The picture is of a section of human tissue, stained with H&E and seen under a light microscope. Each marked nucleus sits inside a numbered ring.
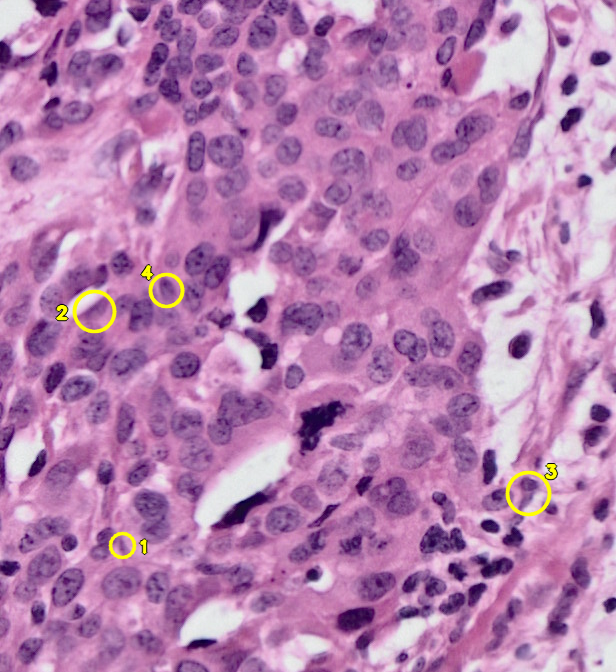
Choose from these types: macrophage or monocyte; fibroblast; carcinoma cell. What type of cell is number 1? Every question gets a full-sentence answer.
Cell number 1 in this section is a carcinoma cell.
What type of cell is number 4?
Nucleus 4 in this section belongs to a carcinoma cell.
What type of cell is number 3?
The one numbered 3 among the marked cells is a macrophage or monocyte.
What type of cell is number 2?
The numbered cell 2 is identified here as a carcinoma cell.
